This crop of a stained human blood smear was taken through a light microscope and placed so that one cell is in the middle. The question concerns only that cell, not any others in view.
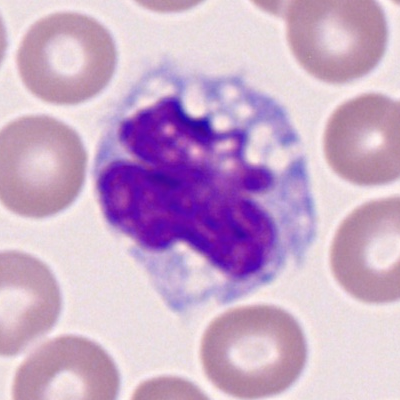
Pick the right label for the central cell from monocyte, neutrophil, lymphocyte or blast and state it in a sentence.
For this crop, the central cell is a monocyte.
